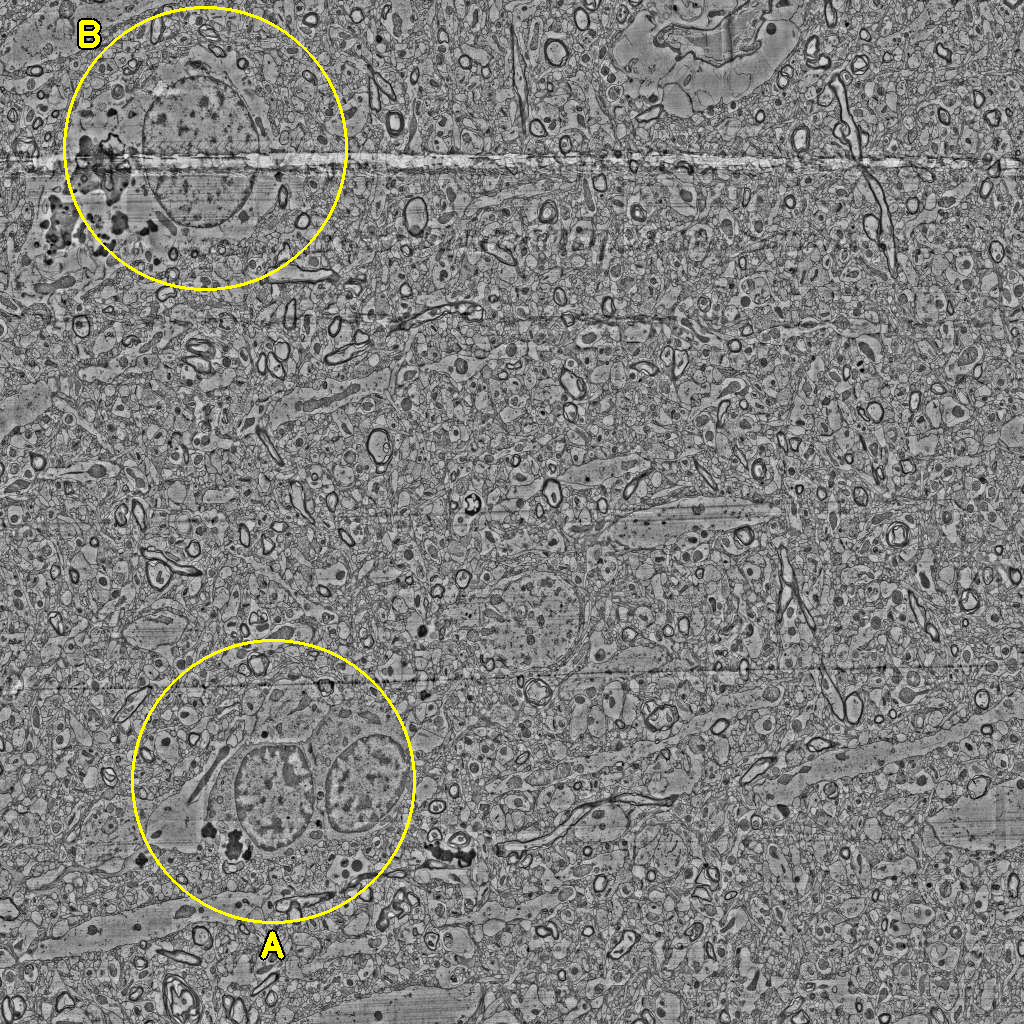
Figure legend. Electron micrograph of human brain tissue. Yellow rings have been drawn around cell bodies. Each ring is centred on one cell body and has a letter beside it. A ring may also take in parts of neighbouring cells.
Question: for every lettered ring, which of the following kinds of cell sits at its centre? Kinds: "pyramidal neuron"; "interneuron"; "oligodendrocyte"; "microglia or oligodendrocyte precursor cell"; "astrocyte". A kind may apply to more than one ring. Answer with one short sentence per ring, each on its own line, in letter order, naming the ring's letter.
Ring A is centred on an oligodendrocyte.
Ring B is centred on an astrocyte.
